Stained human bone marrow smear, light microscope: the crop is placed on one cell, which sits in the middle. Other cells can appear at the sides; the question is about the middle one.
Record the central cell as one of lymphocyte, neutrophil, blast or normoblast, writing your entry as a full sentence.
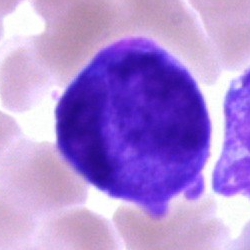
The cell at the middle of the crop is recognized as a blast.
